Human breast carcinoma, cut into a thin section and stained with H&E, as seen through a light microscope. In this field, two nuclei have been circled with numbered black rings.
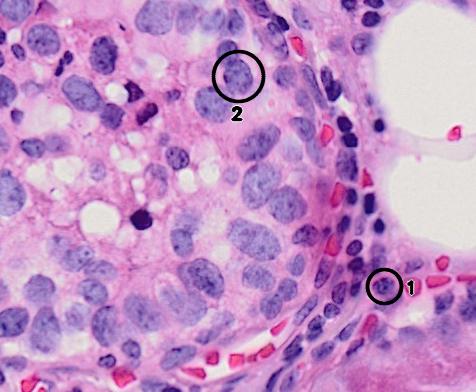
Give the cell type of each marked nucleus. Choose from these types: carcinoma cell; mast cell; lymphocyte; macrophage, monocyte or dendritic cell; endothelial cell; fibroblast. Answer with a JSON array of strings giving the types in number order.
["mast cell", "carcinoma cell"]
